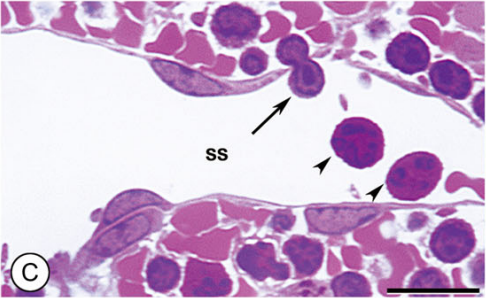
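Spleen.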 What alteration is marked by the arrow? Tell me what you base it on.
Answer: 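A small round dark cell is constricted in the lining of the vessel. Part of it bulges into the lumen and part lies in the wall. On this evidence: A lymphocyte (arrow) is migrating through the endothelium.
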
